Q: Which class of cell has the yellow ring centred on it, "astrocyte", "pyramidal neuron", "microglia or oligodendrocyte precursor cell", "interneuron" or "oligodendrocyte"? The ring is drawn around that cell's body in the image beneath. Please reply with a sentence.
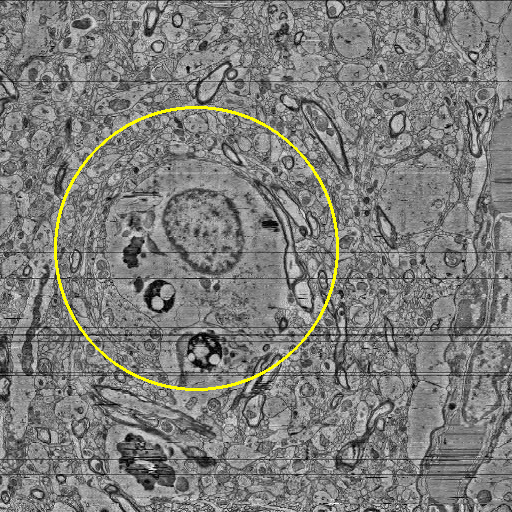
It is centred on an astrocyte.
